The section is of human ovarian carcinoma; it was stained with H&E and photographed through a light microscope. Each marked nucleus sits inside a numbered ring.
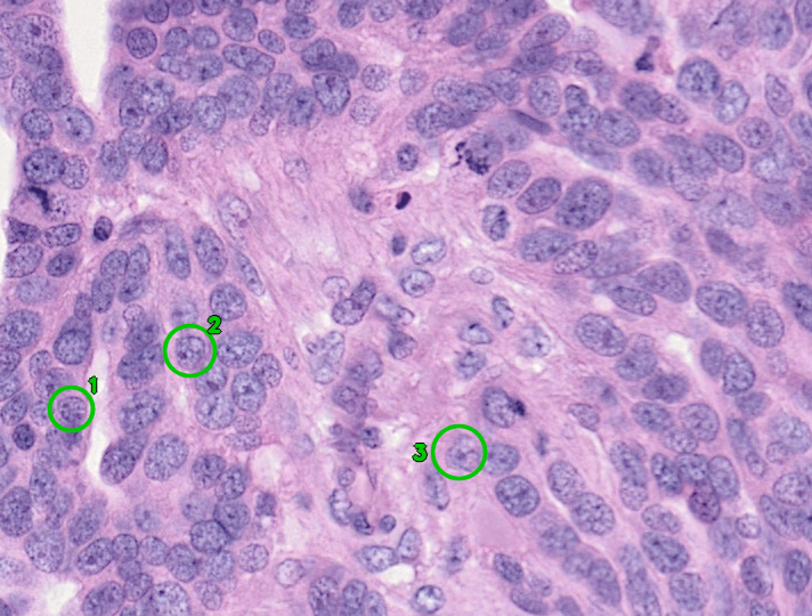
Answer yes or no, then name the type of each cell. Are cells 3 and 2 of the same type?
No, cell 2 is a carcinoma cell, while cell 3 is a fibroblast.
